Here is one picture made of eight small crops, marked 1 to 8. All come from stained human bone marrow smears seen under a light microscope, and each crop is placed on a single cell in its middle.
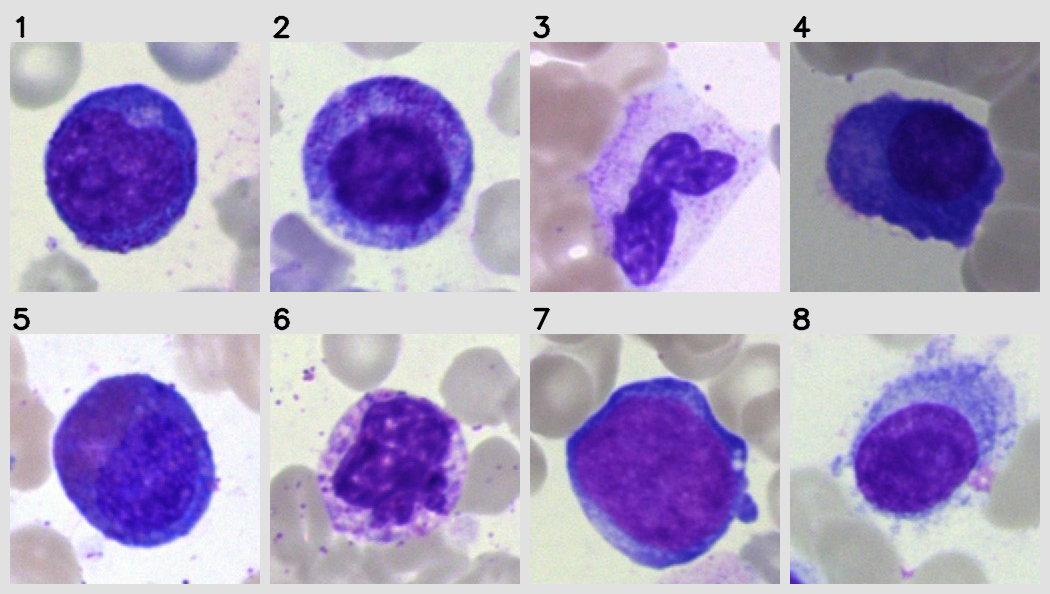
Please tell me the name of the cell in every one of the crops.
1: promyelocyte
2: promyelocyte
3: band neutrophil
4: plasma cell
5: eosinophil
6: basophil
7: proerythroblast
8: hairy cell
